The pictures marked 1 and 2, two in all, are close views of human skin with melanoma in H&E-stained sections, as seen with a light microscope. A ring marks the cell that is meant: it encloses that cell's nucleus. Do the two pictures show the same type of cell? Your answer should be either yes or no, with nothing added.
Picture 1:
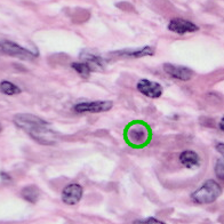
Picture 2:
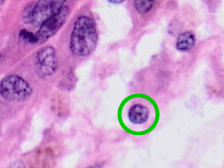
no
